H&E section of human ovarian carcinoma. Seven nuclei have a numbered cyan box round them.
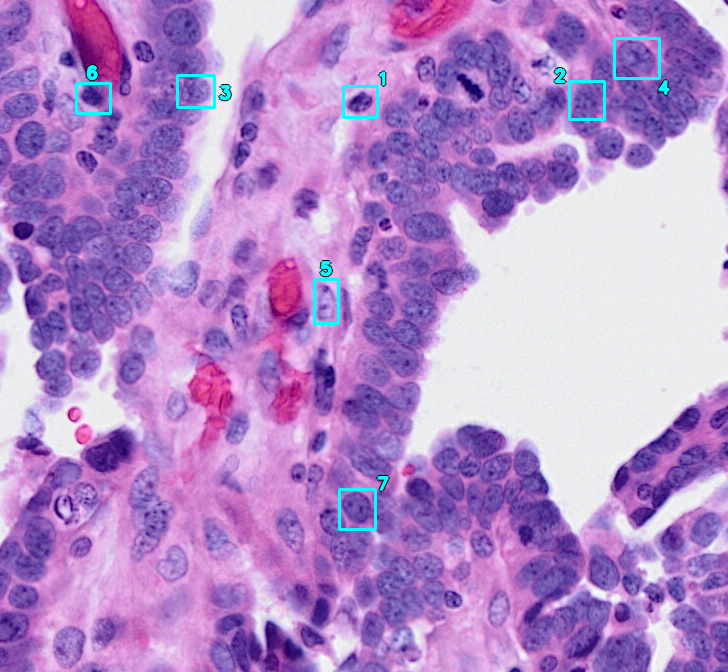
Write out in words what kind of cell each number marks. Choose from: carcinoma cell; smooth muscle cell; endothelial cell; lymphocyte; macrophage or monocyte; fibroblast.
Cells 1 and 6 are lymphocytes. Cells 2, 3, 4 and 7 are carcinoma cells. Cell 5 is a fibroblast.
